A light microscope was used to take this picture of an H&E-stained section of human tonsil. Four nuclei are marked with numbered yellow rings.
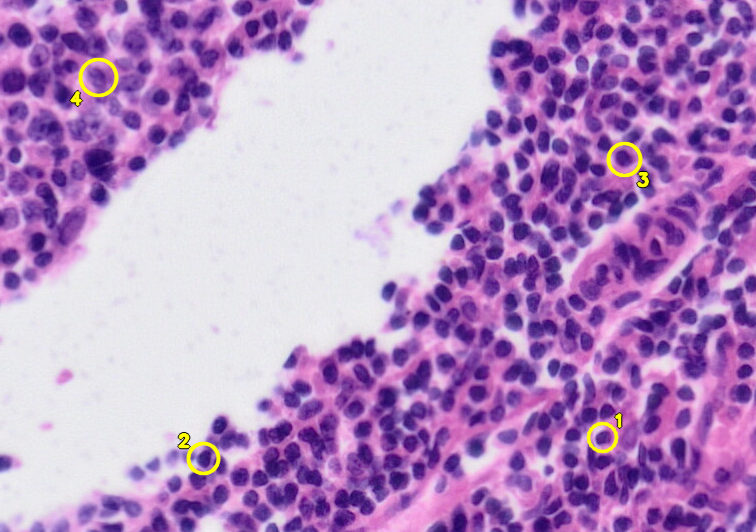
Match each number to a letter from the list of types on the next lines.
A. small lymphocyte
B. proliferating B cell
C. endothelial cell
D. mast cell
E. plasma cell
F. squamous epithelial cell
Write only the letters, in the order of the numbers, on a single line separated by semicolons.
A; A; A; B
